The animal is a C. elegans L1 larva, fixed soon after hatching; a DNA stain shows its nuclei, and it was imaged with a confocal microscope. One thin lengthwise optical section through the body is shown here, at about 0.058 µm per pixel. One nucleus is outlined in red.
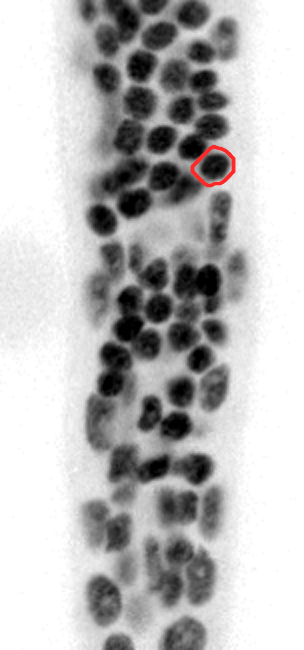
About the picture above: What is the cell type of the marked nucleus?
neuron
